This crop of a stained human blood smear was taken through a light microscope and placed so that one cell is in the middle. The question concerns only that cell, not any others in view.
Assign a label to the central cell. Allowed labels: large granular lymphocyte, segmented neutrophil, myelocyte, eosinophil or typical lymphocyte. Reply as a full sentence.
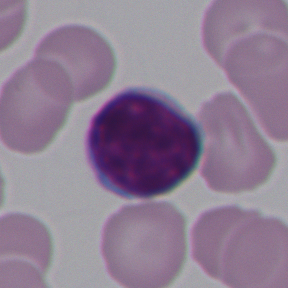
The cell centered in this field of view is a typical lymphocyte.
